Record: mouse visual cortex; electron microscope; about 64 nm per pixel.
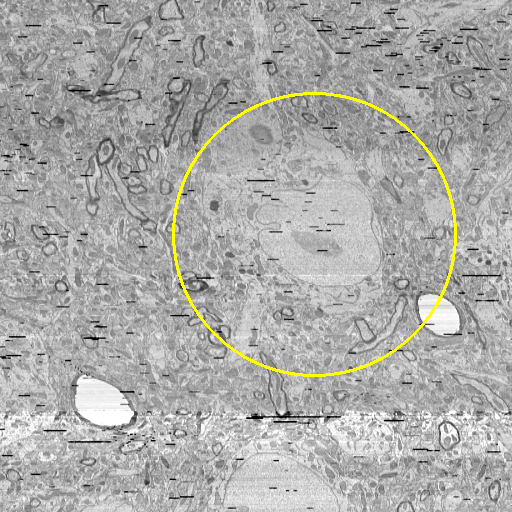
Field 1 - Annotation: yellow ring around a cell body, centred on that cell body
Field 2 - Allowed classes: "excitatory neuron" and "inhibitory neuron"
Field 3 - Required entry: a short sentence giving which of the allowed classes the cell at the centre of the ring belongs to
The centred cell is an excitatory neuron.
